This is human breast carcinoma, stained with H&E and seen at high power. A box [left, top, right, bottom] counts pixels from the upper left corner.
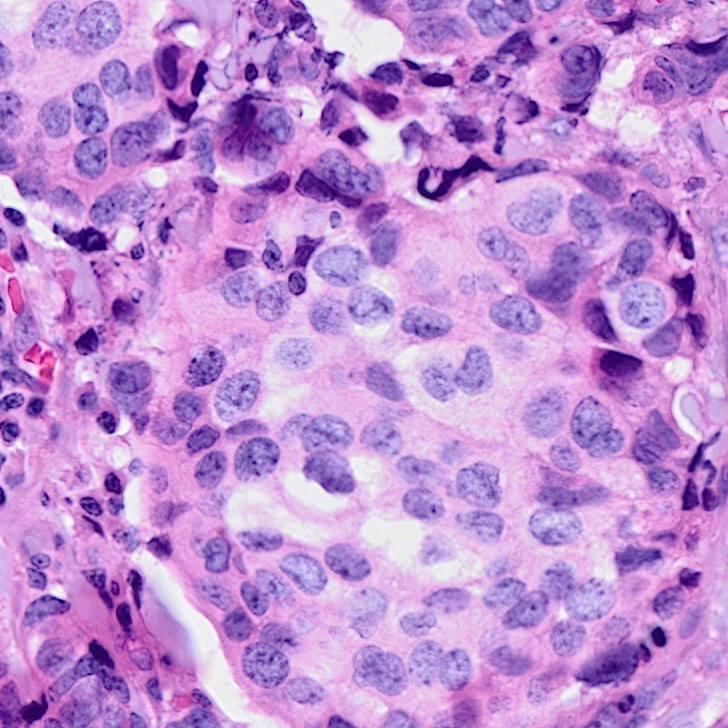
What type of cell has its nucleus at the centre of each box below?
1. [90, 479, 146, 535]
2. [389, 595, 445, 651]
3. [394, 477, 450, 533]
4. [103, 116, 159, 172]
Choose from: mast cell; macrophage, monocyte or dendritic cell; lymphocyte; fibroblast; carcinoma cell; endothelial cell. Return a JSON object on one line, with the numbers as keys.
{"1": "lymphocyte", "2": "carcinoma cell", "3": "carcinoma cell", "4": "carcinoma cell"}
